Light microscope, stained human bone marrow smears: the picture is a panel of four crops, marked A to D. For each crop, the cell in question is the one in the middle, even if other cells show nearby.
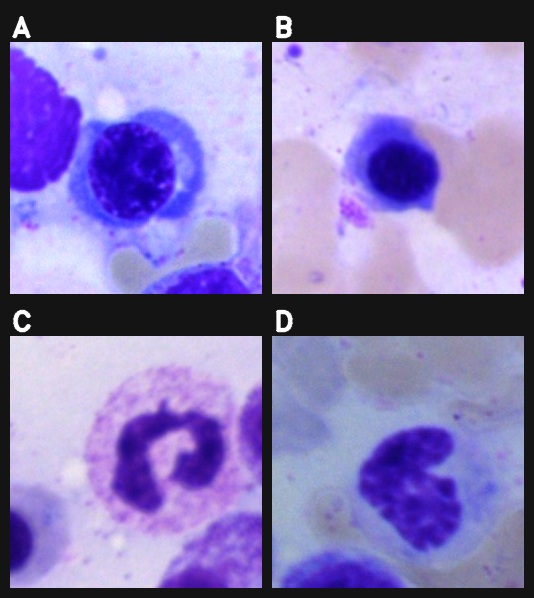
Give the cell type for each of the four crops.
A: erythroblast
B: erythroblast
C: segmented neutrophil
D: band neutrophil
